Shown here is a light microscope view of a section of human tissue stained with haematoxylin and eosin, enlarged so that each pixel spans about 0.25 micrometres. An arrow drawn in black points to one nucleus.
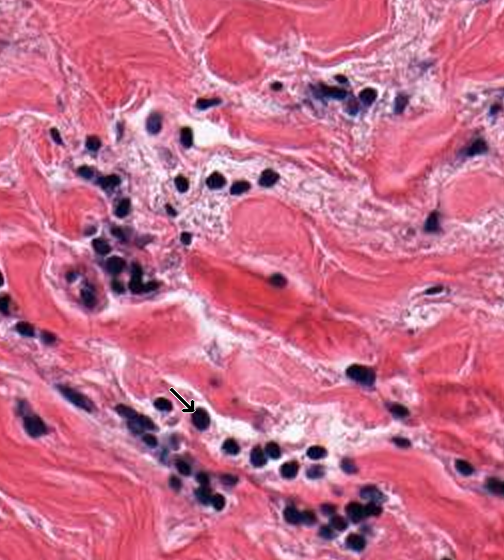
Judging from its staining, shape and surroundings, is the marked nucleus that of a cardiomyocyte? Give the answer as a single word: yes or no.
no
